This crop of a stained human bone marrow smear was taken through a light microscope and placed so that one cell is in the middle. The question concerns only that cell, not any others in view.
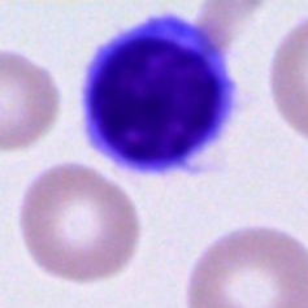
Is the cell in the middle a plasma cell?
no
